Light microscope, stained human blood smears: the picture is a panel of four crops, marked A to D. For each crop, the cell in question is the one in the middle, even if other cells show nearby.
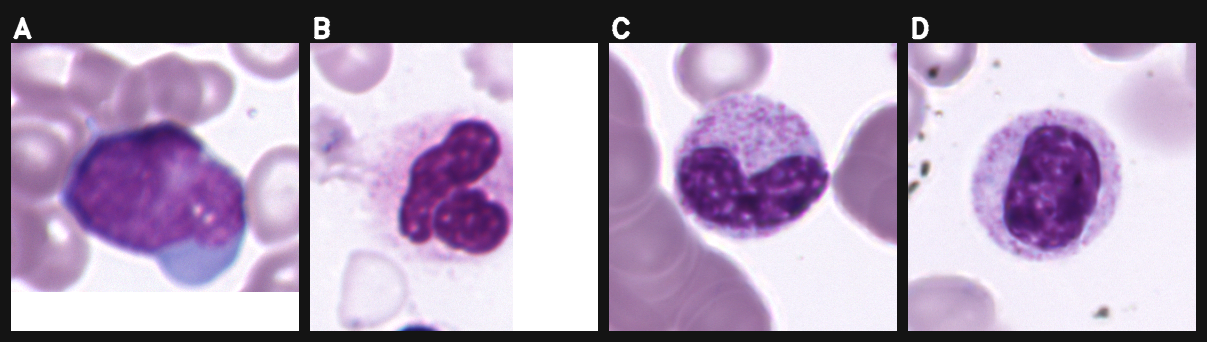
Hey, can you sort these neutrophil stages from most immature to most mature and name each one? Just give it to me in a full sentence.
The maturity sequence, least mature to most mature, is crop A (a myeloblast), crop D (a metamyelocyte), crop C (a band neutrophil) and crop B (a segmented neutrophil).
